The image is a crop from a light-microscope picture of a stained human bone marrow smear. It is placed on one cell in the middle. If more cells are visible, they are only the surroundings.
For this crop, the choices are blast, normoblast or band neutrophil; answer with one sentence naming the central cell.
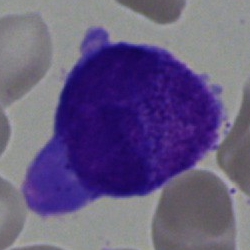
The cell at the middle of the crop is recognized as a blast.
